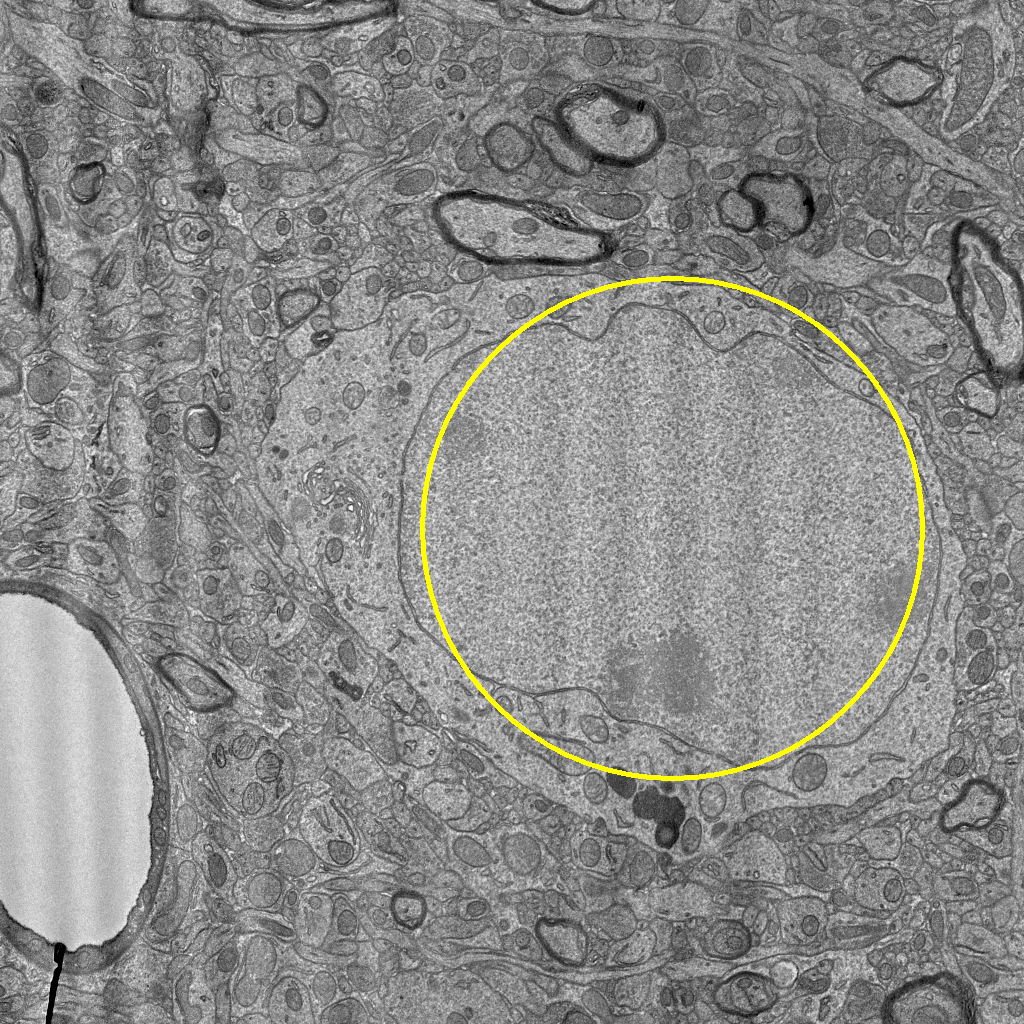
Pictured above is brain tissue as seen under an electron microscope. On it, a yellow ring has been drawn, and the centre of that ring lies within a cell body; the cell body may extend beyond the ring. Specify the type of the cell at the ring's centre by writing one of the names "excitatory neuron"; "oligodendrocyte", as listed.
excitatory neuron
